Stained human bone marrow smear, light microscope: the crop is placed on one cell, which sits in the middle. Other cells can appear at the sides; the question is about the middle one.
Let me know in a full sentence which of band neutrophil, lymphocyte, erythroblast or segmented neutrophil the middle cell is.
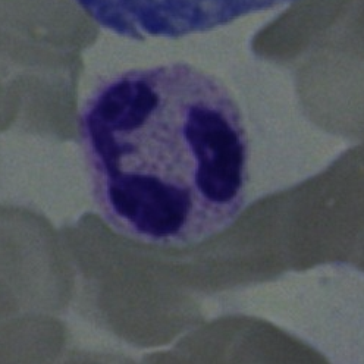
The middle position in this crop is taken by a segmented neutrophil.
